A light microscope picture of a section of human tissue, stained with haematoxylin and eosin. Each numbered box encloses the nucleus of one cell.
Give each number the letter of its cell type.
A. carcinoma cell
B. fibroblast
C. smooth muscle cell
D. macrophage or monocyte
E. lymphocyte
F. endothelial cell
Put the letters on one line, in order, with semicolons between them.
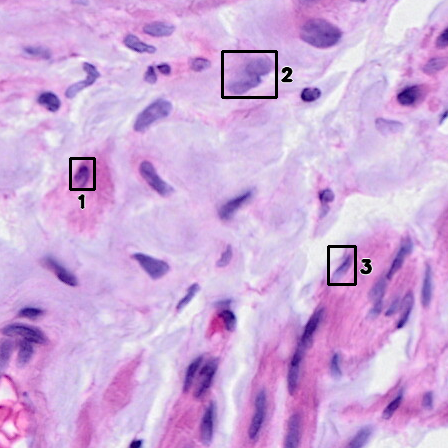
C; B; C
